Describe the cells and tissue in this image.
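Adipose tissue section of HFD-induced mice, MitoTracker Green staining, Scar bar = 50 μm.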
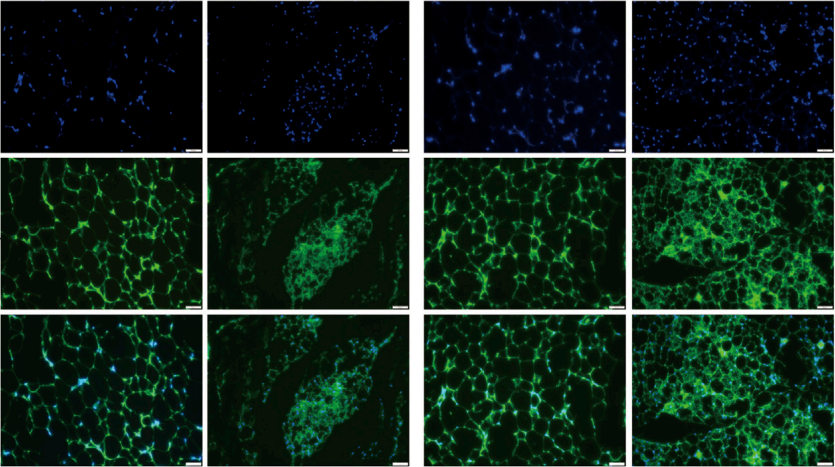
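Tissue sections with blue-stained nuclei and green fluorescence are shown. In most frames large polygonal cells form a honeycomb, each with an empty-looking centre and only a thin green rim. In some frames patches of much smaller, densely green-filled cells are seen.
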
